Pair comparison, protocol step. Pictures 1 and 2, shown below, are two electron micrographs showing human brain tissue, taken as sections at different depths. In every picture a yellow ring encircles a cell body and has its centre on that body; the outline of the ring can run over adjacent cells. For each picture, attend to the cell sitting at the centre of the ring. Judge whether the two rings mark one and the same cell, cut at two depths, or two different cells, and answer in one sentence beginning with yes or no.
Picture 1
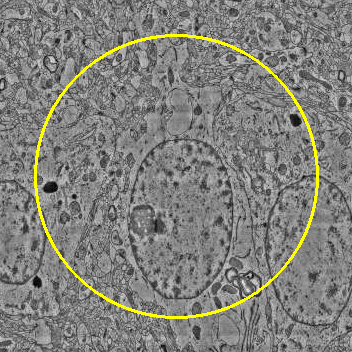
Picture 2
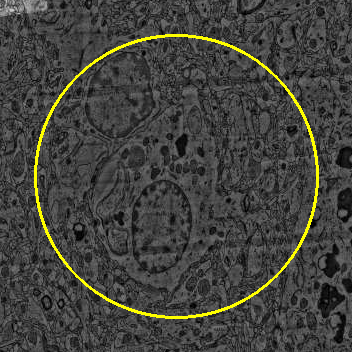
No, the two rings were placed on two different cells.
